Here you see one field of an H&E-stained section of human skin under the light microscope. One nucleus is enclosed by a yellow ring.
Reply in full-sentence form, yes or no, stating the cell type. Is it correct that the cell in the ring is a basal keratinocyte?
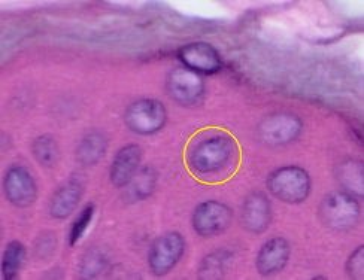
No, the cell in the ring is termed a suprabasal keratinocyte, not a basal keratinocyte.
